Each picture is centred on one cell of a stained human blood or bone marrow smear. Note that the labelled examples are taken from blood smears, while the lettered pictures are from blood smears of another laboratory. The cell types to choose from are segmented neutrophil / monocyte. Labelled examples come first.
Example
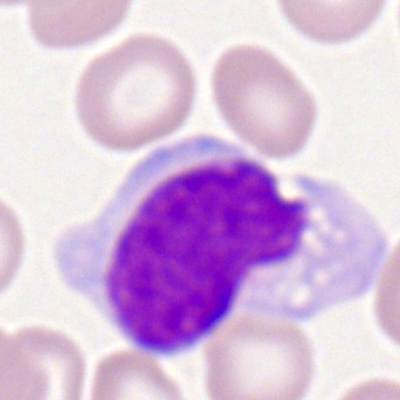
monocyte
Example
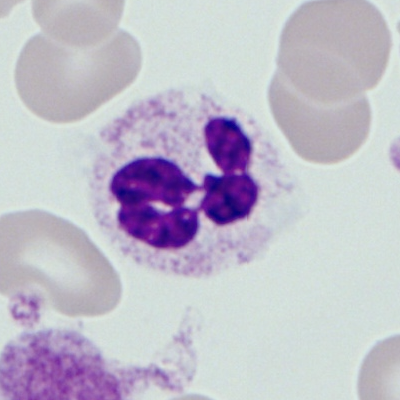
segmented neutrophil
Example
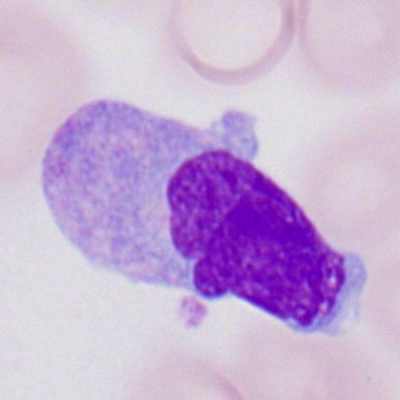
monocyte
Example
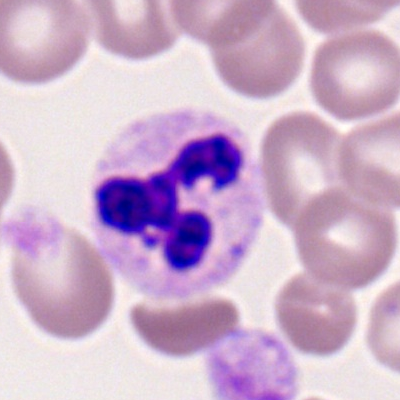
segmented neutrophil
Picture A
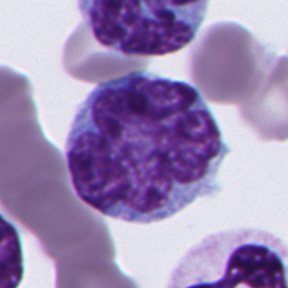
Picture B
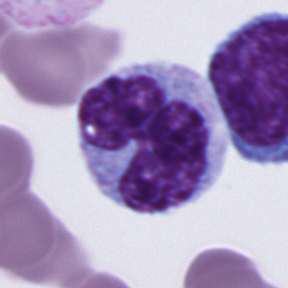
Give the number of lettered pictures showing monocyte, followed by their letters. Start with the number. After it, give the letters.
2: A, B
